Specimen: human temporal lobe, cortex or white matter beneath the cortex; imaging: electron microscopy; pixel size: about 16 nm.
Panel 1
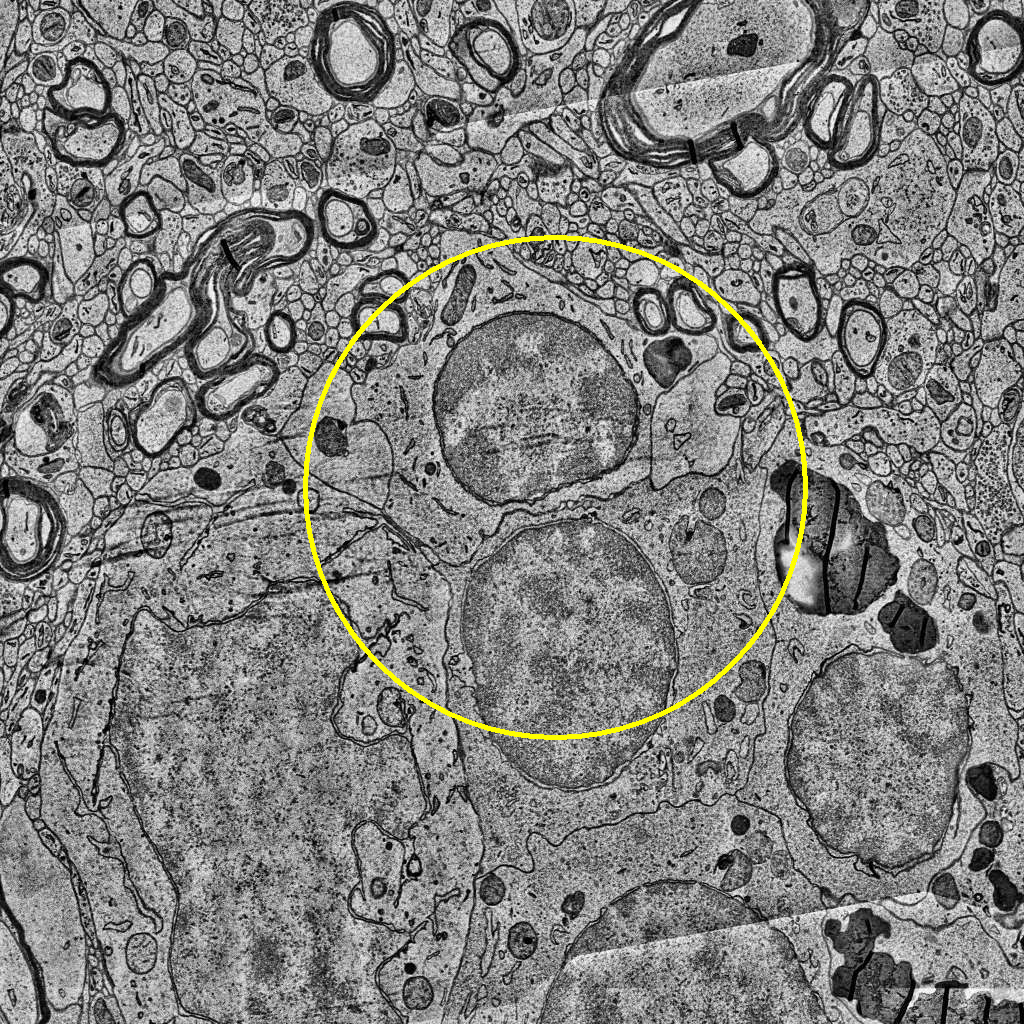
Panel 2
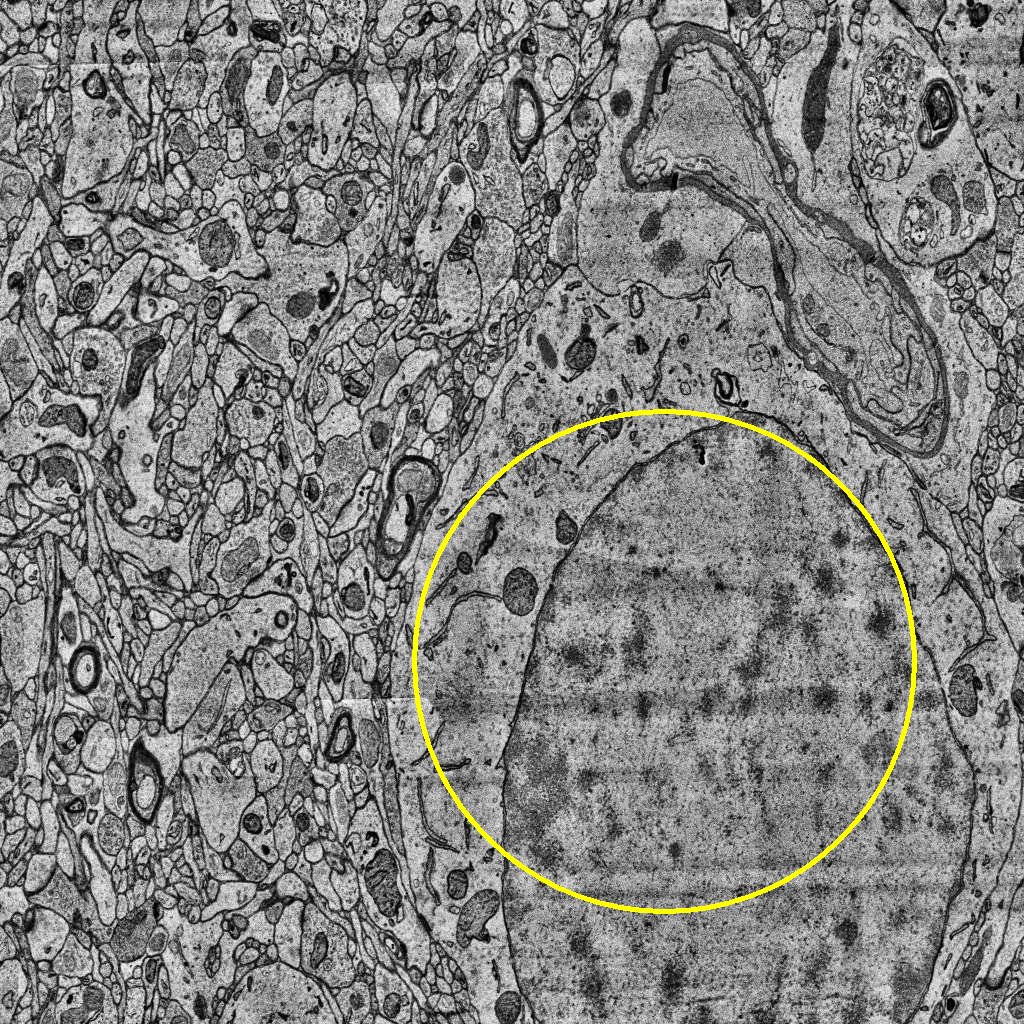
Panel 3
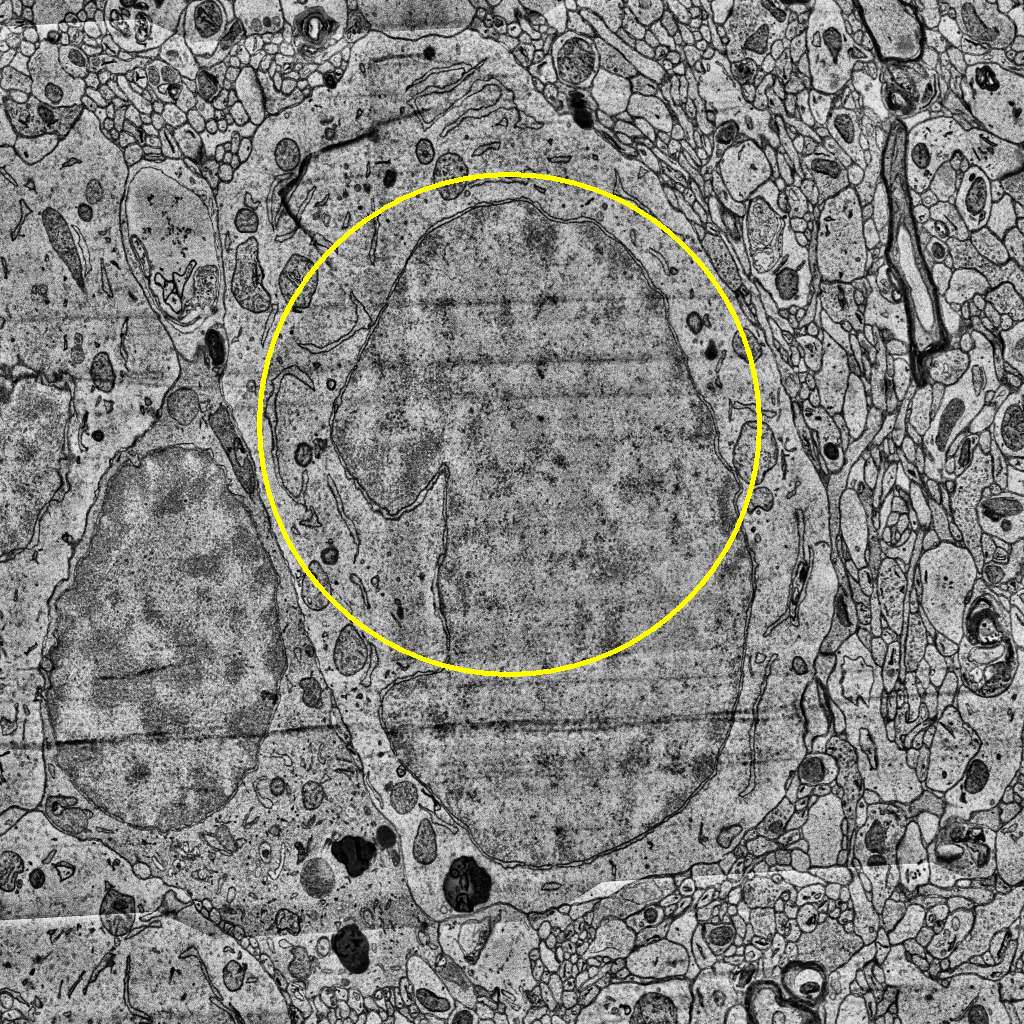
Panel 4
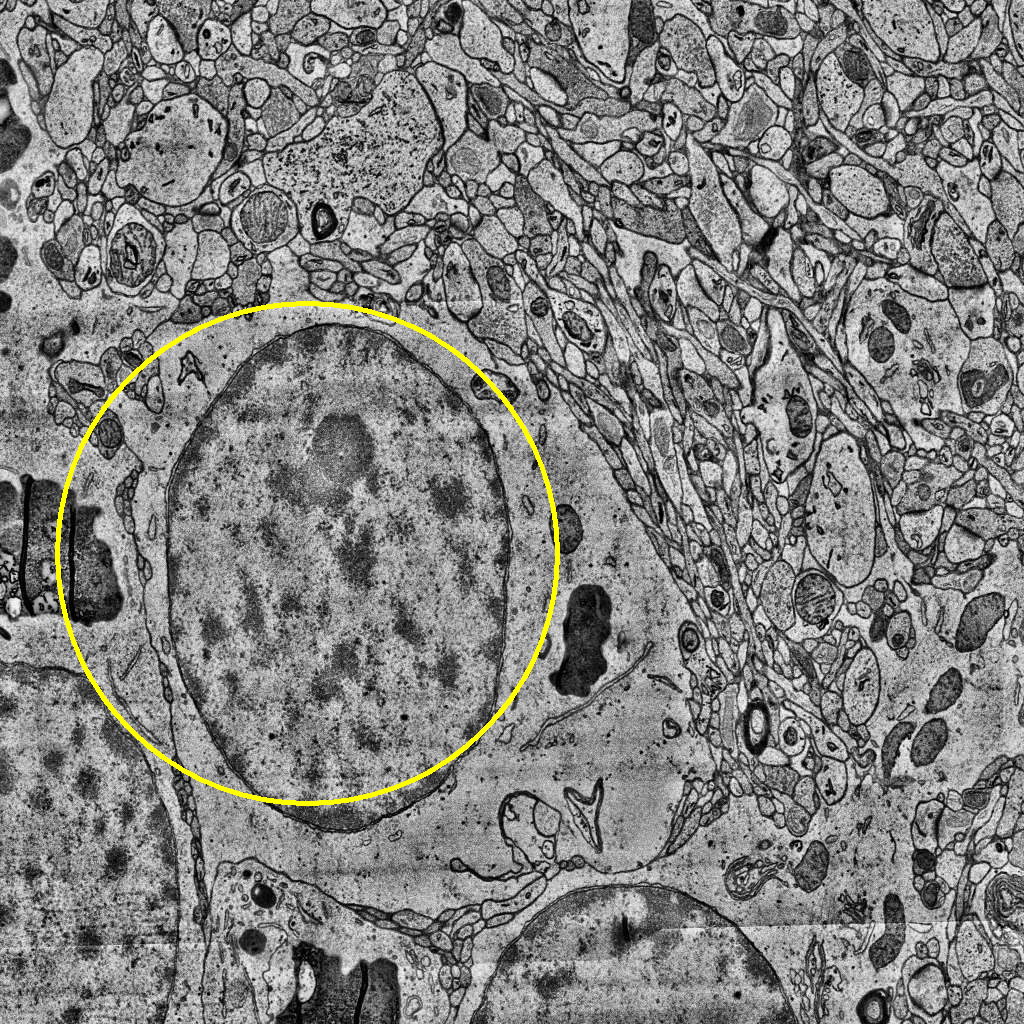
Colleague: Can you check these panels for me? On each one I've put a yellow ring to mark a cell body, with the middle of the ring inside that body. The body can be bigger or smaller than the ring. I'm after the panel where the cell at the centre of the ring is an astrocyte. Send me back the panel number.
4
